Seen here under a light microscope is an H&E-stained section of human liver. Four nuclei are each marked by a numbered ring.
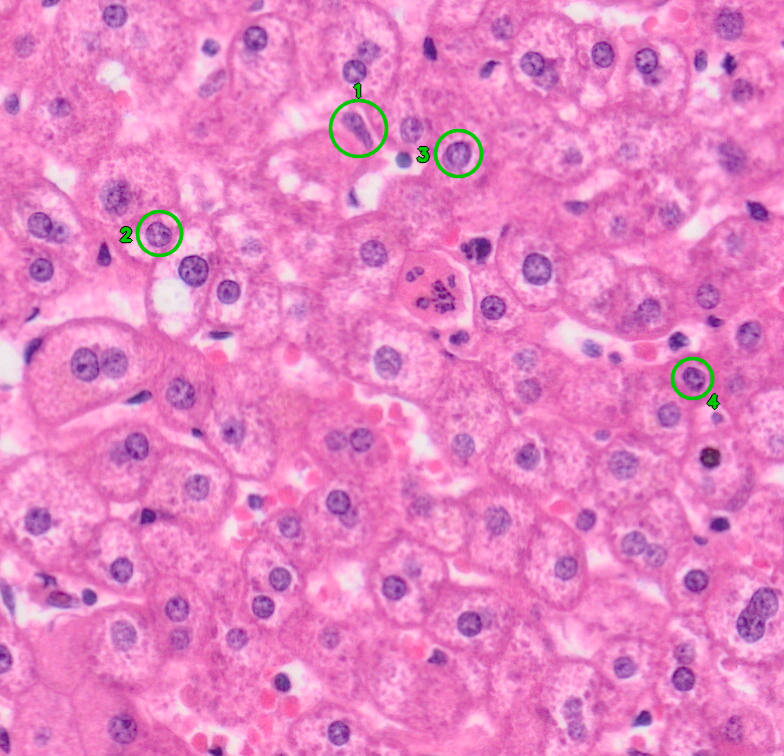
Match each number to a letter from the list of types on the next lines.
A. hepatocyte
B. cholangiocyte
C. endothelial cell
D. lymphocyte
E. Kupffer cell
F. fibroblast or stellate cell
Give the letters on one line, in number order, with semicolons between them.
E; A; A; A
